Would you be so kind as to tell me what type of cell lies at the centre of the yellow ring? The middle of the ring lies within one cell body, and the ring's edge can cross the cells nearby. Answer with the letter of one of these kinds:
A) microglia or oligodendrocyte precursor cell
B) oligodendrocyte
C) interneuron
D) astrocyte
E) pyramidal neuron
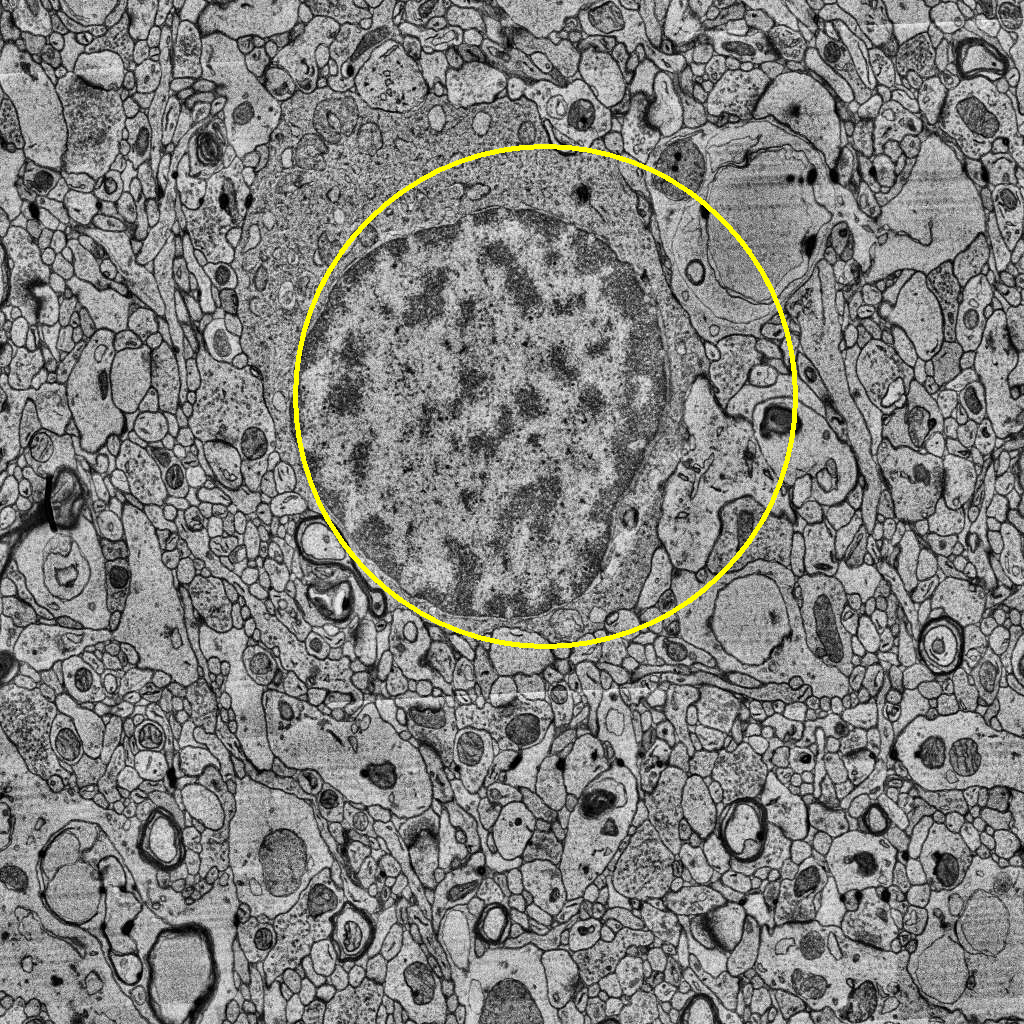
B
